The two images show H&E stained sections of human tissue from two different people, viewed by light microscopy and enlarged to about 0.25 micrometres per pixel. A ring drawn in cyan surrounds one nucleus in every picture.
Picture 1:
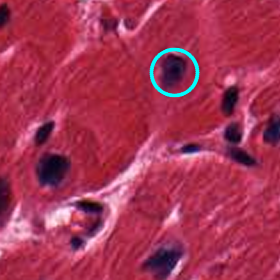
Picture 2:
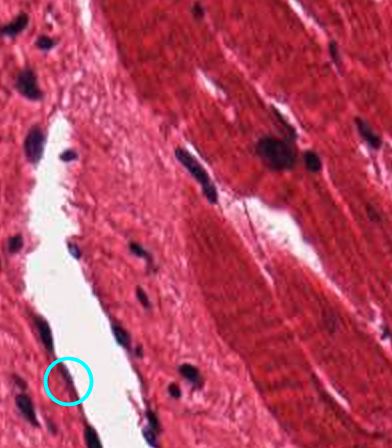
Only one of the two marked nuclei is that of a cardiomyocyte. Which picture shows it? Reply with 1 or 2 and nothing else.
1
